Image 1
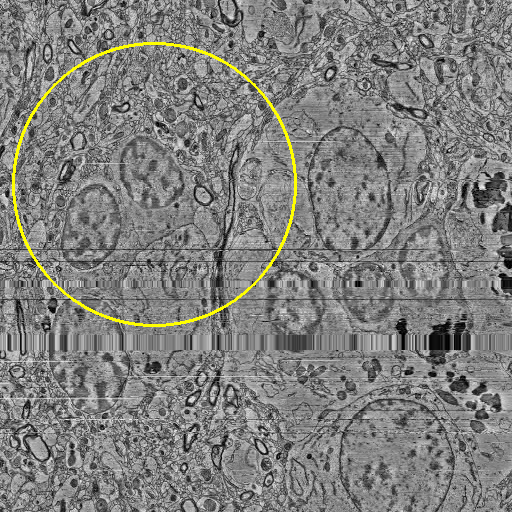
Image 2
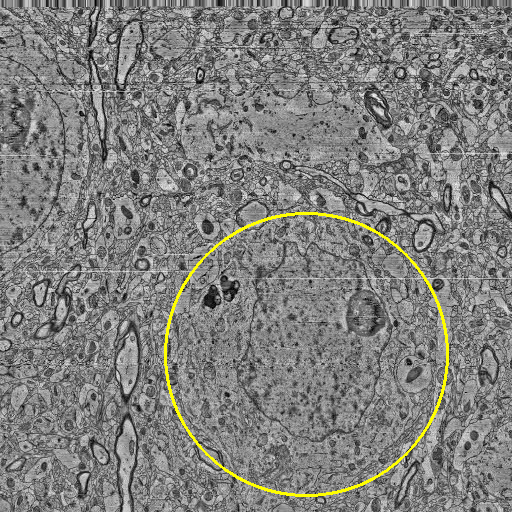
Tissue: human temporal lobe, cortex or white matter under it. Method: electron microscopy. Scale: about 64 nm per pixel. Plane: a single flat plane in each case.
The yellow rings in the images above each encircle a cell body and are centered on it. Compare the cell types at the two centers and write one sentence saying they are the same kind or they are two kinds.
Taken together, the two cells at the ring centers are two kinds.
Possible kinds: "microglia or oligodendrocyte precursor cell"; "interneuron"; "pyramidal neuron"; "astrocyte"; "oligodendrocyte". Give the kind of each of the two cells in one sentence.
The cell in the second picture is a pyramidal neuron, and that in the first is an oligodendrocyte.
